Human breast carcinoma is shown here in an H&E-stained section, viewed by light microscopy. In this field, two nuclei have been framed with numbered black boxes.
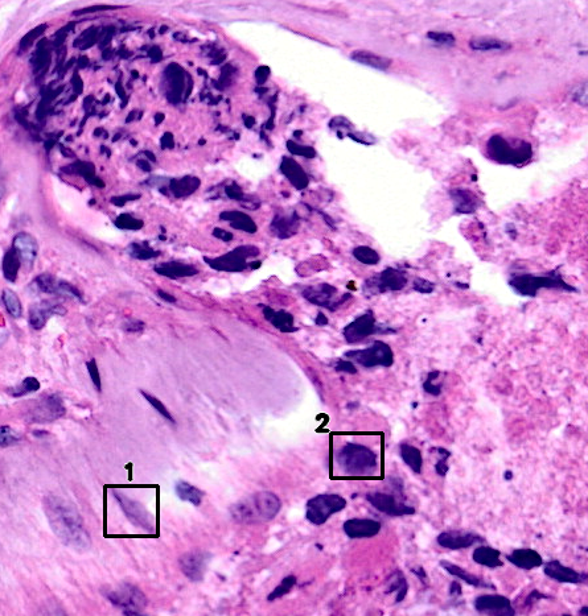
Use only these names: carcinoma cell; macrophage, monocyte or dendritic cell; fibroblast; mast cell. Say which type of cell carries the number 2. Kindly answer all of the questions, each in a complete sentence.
Cell 2, as marked in the section, is a carcinoma cell.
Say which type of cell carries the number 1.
The nucleus with number 1 is that of a fibroblast.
